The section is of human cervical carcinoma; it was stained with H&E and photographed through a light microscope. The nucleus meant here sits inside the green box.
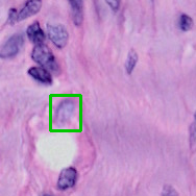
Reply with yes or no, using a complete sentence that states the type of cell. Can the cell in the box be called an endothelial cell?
Yes, the cell in the box is assigned the identity of an endothelial cell.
